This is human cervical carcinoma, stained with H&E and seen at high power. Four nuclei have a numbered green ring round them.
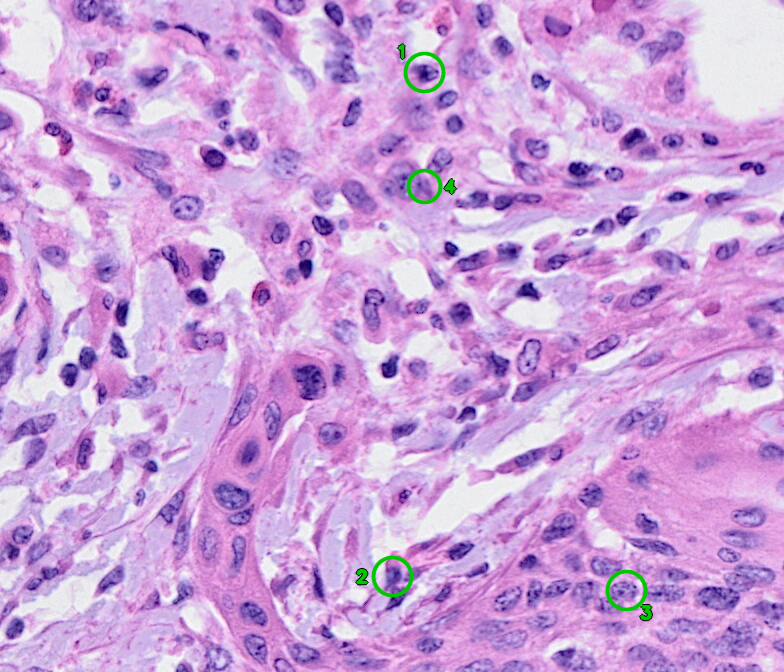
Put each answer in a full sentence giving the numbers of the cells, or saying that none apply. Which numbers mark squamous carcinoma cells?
Among the numbered nuclei, only the one labelled 3 belongs to a squamous carcinoma cell.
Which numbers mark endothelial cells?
Only the cell numbered 4 is an endothelial cell, and the others are something else.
